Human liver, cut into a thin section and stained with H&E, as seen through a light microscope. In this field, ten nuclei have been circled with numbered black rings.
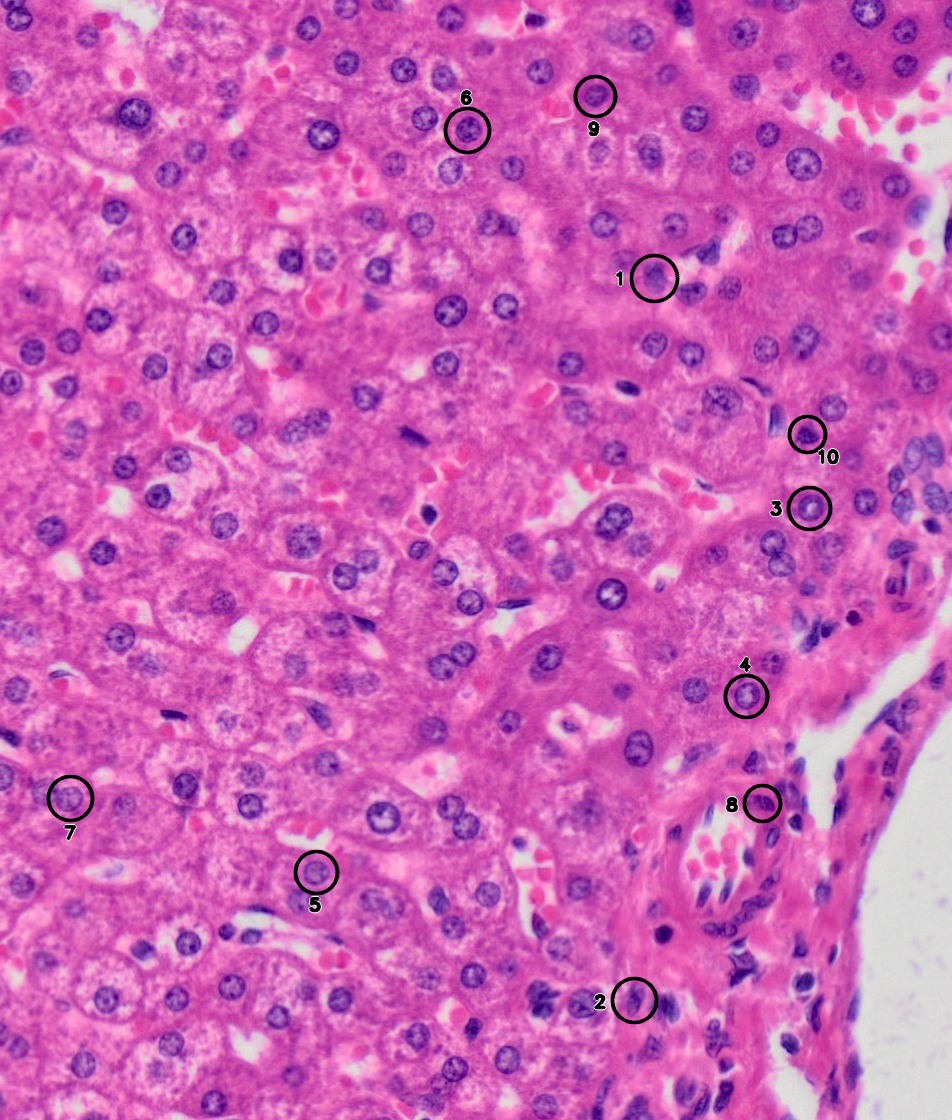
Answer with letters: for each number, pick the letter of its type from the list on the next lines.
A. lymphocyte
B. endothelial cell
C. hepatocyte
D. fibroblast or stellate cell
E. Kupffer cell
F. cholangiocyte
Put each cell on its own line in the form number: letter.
1: B
2: D
3: C
4: C
5: C
6: C
7: C
8: D
9: C
10: D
